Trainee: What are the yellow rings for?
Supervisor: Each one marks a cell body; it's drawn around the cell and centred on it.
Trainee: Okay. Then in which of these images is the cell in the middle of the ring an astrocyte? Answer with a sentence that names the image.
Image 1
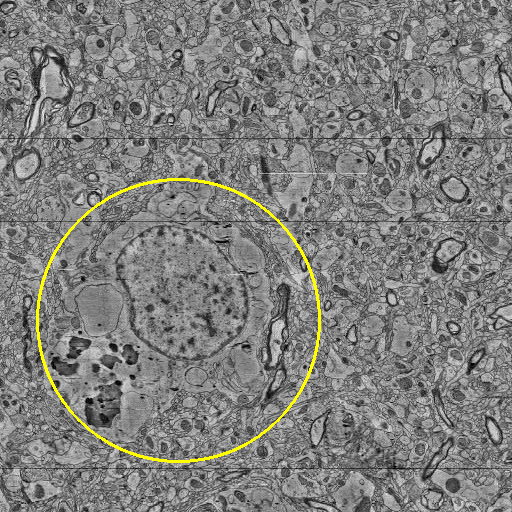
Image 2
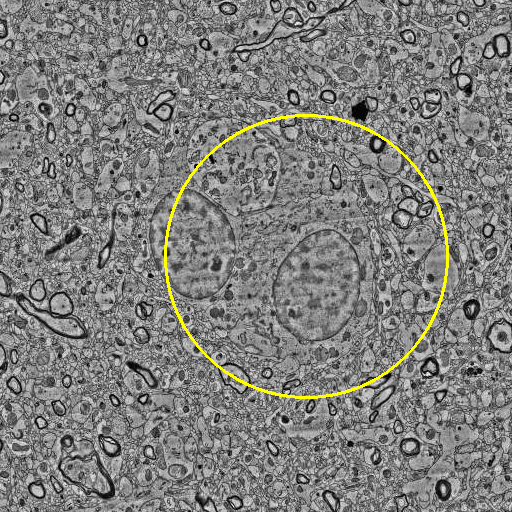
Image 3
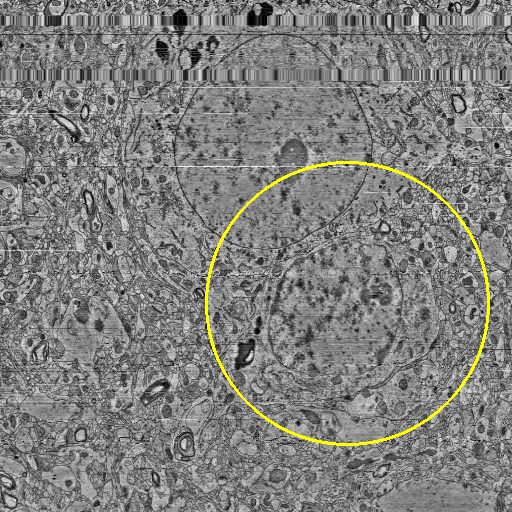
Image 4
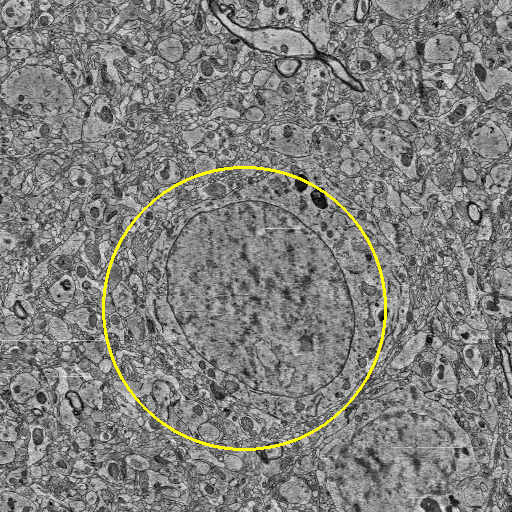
Image 1 has it in the middle of the ring.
